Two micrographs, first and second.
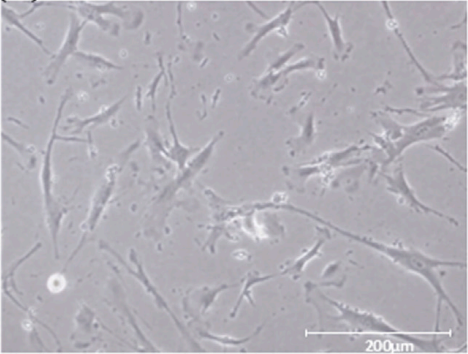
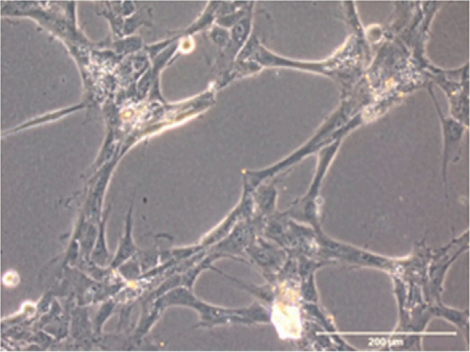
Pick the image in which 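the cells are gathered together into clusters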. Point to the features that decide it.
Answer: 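Second image: cells form dense clumps linked by thick cords around empty spaces. First image: spindle-shaped cells lie singly, spread across the field. So: the second image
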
